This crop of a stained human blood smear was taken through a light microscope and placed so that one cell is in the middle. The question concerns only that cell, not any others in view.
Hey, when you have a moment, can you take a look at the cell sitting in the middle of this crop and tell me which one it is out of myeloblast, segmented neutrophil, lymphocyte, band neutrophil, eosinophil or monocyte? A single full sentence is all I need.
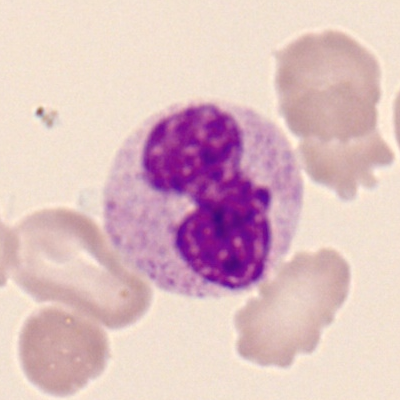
To answer, the cell in the center of the crop is a monocyte.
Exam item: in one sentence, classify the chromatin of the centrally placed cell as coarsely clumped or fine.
The chromatin within its nucleus forms coarse clumps.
